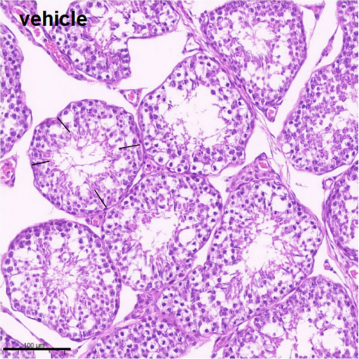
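This H&E section of testis shows seminiferous tubules cut in cross section, closely packed with pale interstitial spaces between them. Each tubule is lined by a stratified spermatogenic cell layer of several tiers of cells with round, dark purple nuclei, extending from the outer boundary toward a central lumen. The lumen contains pale pink, wispy material.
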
